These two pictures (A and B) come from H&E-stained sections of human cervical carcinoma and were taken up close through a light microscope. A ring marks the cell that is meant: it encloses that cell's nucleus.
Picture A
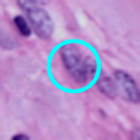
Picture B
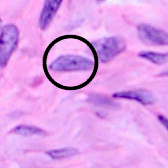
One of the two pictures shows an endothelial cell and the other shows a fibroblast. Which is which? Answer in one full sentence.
Picture A shows an endothelial cell and picture B shows a fibroblast.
